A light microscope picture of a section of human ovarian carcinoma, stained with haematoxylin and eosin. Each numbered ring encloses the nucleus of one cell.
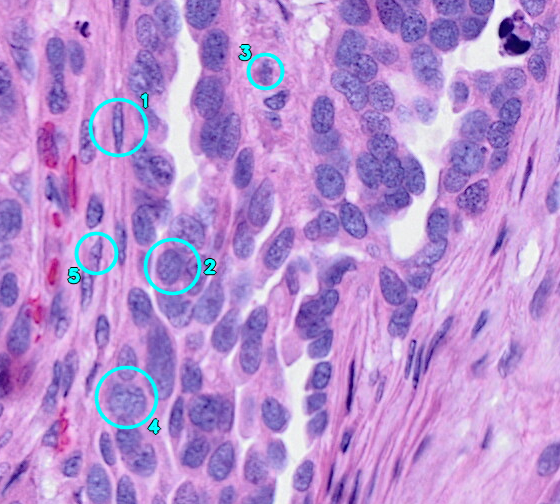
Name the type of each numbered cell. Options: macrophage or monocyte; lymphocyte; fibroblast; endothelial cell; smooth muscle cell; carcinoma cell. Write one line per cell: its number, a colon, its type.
1: fibroblast
2: carcinoma cell
3: fibroblast
4: carcinoma cell
5: fibroblast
